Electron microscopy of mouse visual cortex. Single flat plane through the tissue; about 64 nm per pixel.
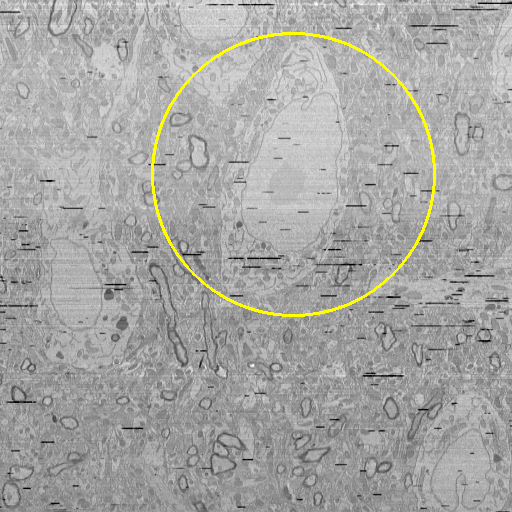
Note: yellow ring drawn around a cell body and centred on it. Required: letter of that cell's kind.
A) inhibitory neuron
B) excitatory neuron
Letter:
A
